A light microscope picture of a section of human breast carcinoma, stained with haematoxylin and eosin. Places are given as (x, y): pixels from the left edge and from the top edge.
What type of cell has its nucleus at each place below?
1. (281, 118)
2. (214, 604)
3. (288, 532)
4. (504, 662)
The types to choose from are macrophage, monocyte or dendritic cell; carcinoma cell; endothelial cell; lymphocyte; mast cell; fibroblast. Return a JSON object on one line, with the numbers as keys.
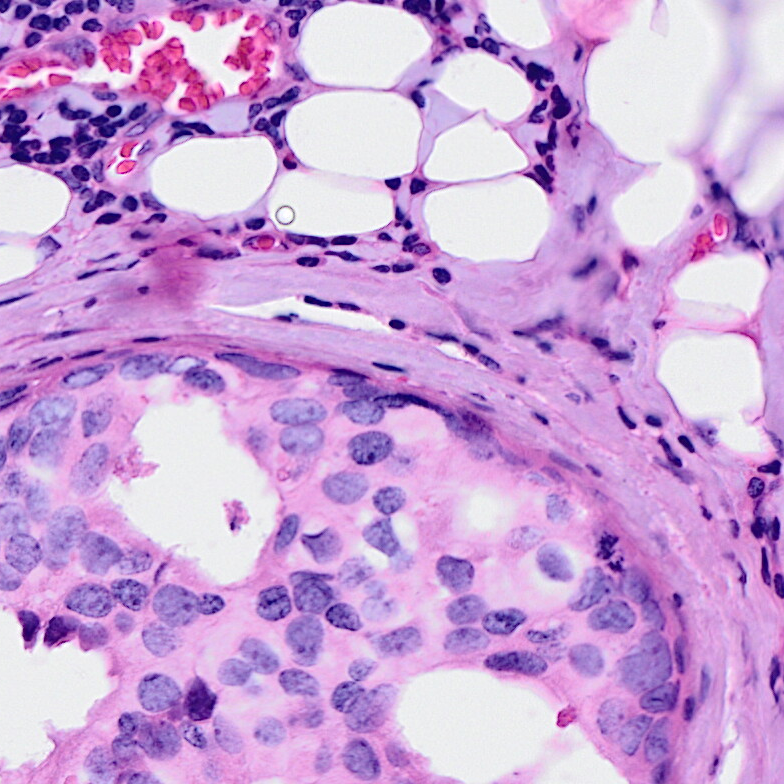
{"1": "lymphocyte", "2": "carcinoma cell", "3": "carcinoma cell", "4": "carcinoma cell"}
